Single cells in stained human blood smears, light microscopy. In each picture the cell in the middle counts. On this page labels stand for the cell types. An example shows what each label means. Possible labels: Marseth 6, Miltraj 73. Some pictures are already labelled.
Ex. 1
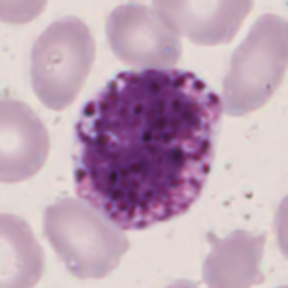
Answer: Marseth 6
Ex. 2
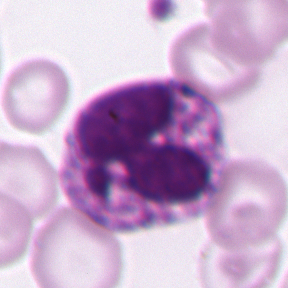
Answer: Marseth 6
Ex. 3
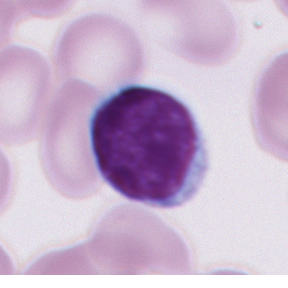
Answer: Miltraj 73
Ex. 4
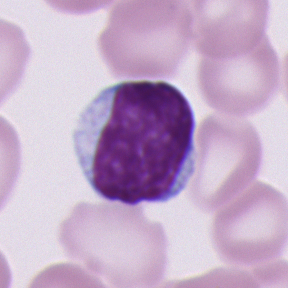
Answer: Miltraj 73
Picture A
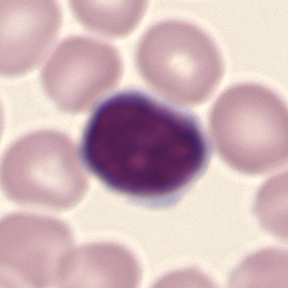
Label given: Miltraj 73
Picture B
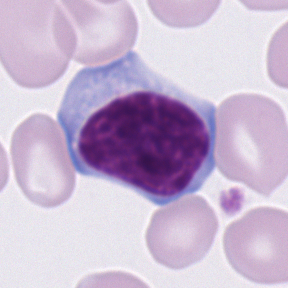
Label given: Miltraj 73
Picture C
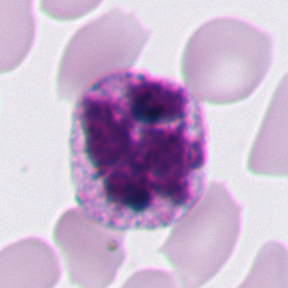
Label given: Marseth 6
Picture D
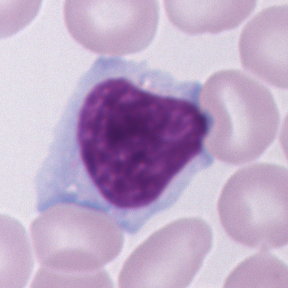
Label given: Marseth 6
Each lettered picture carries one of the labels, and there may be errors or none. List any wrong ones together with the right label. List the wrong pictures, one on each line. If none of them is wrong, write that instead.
D: change Marseth 6 to Miltraj 73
